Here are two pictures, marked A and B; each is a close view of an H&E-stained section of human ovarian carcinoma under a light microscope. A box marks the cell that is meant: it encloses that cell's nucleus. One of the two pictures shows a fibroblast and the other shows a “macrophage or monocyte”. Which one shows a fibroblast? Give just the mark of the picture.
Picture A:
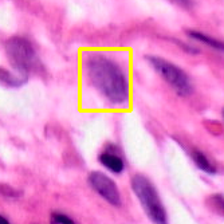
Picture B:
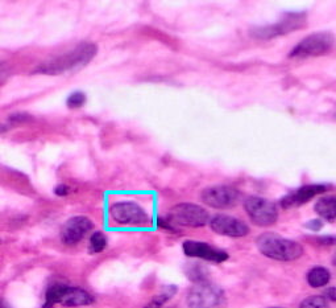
A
